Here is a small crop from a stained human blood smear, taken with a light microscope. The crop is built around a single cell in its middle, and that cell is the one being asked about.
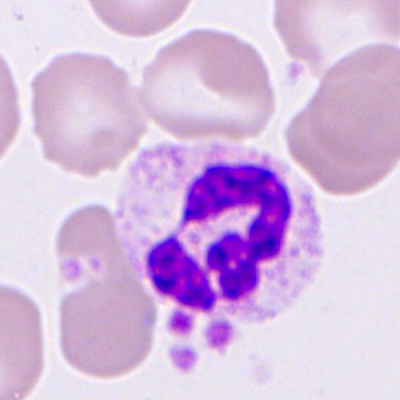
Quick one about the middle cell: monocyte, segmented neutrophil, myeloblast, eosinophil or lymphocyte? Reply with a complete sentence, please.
Among the cells in view, the one in the middle is a segmented neutrophil.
